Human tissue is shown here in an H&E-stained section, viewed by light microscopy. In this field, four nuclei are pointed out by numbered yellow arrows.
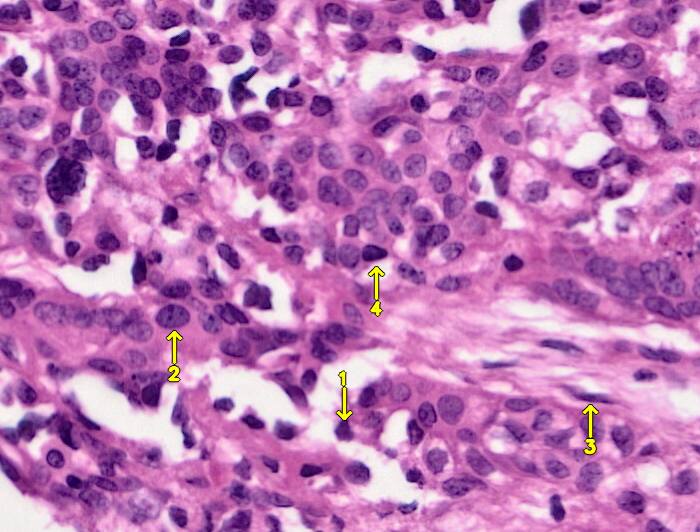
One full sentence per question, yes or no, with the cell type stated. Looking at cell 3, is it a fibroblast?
Yes, in this section the cell with number 3 is a fibroblast.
